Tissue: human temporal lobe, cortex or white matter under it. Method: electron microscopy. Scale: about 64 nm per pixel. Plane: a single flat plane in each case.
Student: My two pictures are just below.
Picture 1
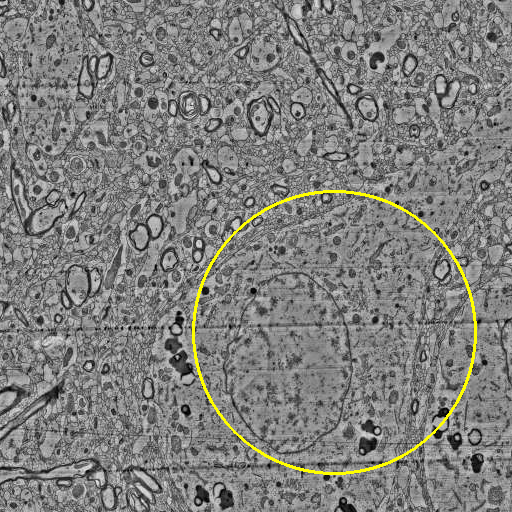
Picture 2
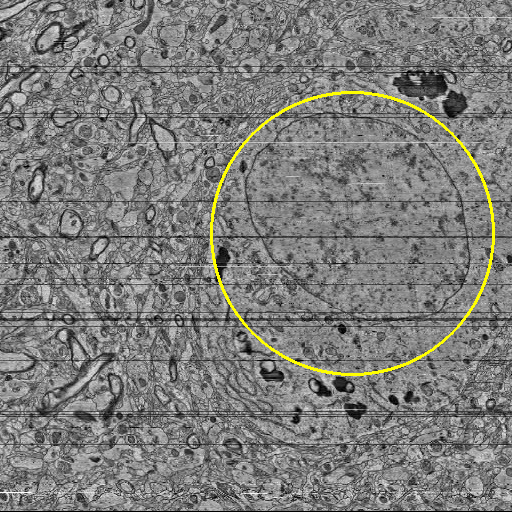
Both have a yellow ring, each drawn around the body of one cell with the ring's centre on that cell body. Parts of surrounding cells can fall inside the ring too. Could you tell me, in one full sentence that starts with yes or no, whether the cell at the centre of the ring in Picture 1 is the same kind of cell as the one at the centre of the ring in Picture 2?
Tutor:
Yes, the two cells are of the same kind.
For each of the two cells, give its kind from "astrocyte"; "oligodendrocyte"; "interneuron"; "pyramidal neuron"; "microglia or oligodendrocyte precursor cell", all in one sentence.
The cell at the ring centre is a pyramidal neuron in both pictures.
